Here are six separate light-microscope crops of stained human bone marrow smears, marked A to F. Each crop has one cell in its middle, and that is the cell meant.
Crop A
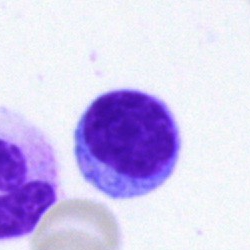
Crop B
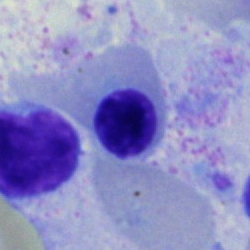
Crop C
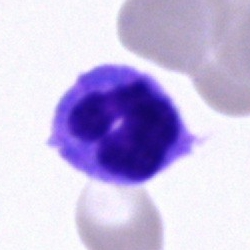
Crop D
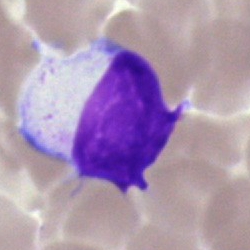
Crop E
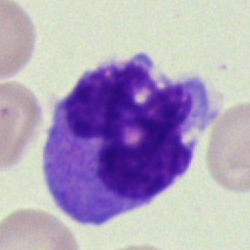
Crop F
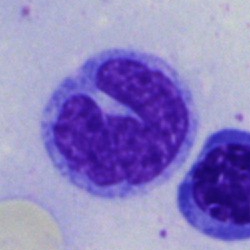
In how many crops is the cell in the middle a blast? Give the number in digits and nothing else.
0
